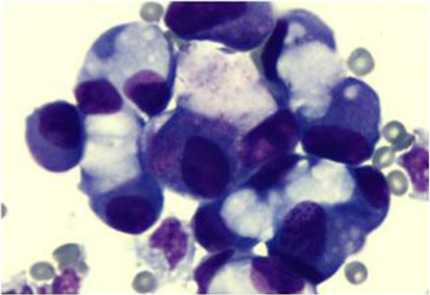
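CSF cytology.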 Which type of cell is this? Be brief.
Tumor cells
